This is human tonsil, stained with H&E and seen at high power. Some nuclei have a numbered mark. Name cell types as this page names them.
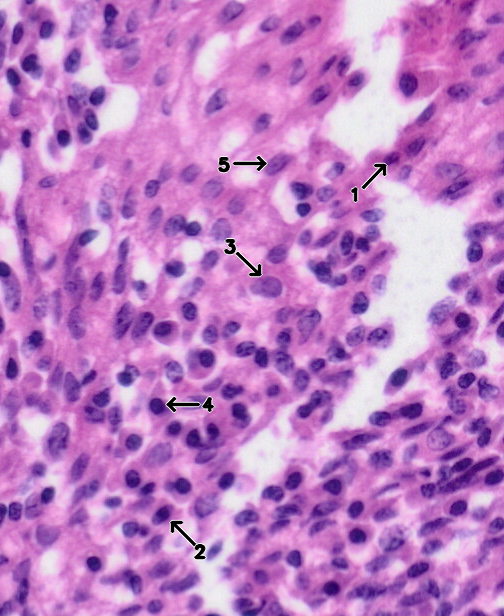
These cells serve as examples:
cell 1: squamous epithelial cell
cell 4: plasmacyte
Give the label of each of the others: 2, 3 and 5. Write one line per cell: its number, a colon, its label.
2: plasmacyte
3: squamous epithelial cell
5: squamous epithelial cell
